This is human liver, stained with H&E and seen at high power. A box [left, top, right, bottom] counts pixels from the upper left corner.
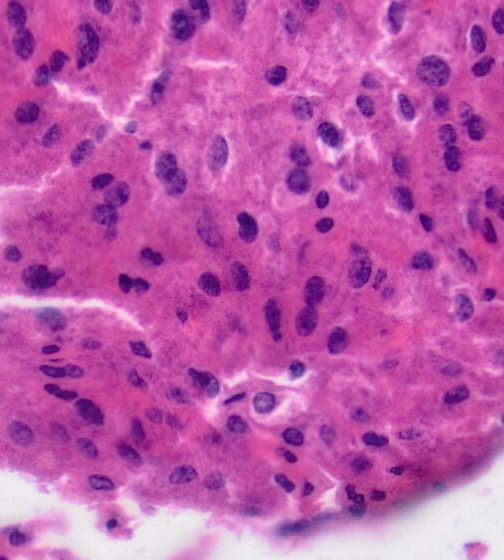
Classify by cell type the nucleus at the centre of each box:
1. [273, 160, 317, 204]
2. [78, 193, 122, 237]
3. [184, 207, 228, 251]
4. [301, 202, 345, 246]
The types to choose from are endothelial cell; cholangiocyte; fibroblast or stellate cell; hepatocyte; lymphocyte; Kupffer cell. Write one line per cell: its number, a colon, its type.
1: hepatocyte
2: hepatocyte
3: hepatocyte
4: lymphocyte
